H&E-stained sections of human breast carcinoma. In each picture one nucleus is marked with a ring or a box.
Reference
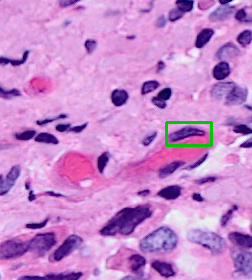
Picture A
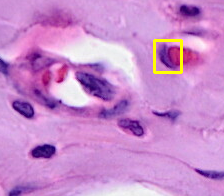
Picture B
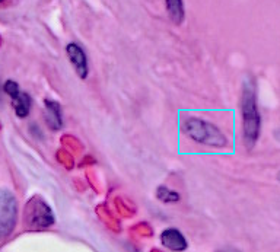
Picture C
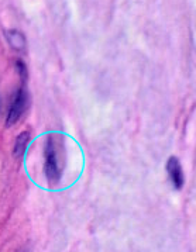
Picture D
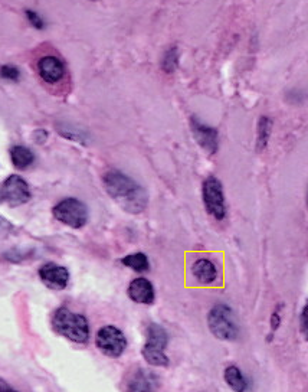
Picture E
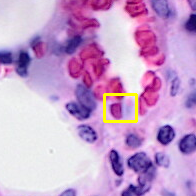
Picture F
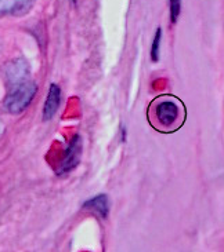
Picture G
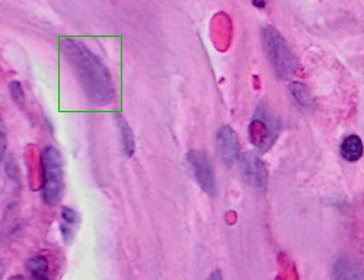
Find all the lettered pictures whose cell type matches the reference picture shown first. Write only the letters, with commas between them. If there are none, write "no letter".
A, B, E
